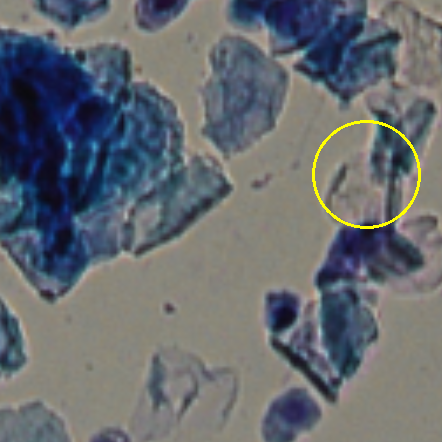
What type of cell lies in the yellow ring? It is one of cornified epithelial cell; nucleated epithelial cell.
The ringed cell is a cornified epithelial cell.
